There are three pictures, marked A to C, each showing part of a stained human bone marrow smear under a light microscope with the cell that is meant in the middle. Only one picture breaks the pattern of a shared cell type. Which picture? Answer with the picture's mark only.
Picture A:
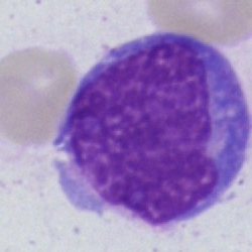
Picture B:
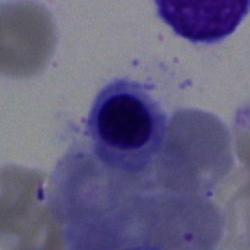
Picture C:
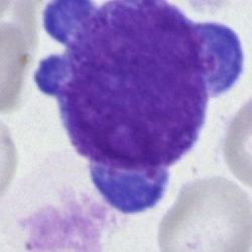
B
